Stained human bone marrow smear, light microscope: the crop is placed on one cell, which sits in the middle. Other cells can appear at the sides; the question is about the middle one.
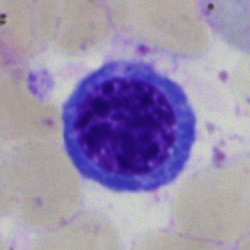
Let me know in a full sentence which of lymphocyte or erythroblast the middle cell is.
As for the central cell, it is an erythroblast.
